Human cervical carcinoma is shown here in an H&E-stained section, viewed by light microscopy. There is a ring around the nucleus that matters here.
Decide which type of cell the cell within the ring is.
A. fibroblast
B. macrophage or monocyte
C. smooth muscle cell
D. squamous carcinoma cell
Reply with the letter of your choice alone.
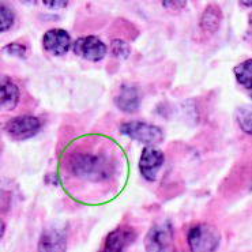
B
